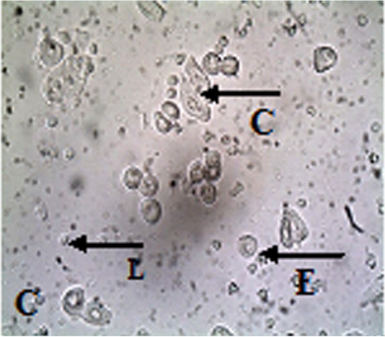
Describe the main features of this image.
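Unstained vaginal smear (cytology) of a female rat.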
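Many cells are rounded, plump and strongly refractile, with thick bright outlines, and some of them hold a visible central body. Paler, flatter cells with irregular edges lie among the rounded ones. Small dark dots, far smaller than the other cells, are scattered over the warm grey background. The centre of the field is slightly darker and less sharply focused than the edges.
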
